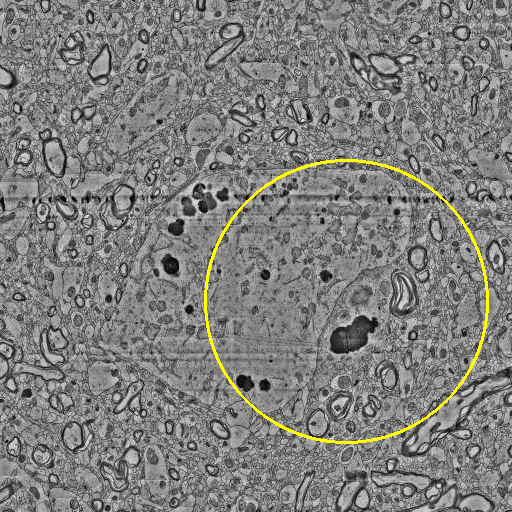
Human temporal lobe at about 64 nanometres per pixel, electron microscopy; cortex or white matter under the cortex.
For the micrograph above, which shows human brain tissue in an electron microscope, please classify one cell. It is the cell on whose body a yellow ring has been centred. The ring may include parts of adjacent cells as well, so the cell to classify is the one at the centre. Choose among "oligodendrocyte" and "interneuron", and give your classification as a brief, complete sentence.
I classify this cell as an oligodendrocyte.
